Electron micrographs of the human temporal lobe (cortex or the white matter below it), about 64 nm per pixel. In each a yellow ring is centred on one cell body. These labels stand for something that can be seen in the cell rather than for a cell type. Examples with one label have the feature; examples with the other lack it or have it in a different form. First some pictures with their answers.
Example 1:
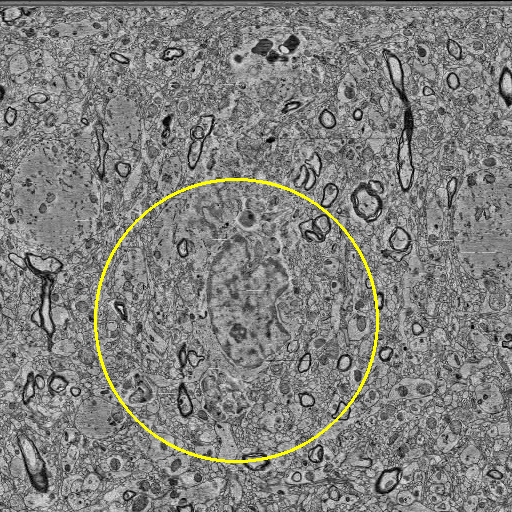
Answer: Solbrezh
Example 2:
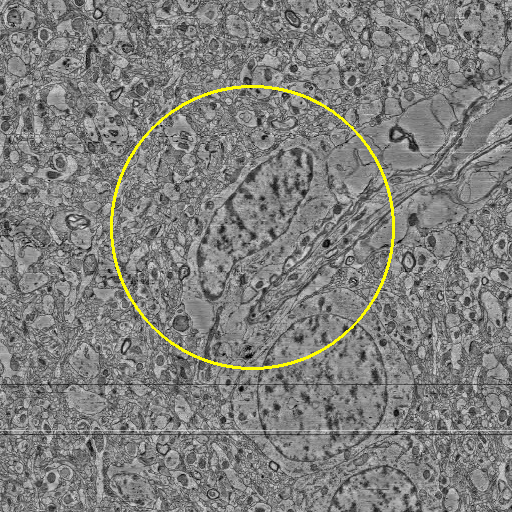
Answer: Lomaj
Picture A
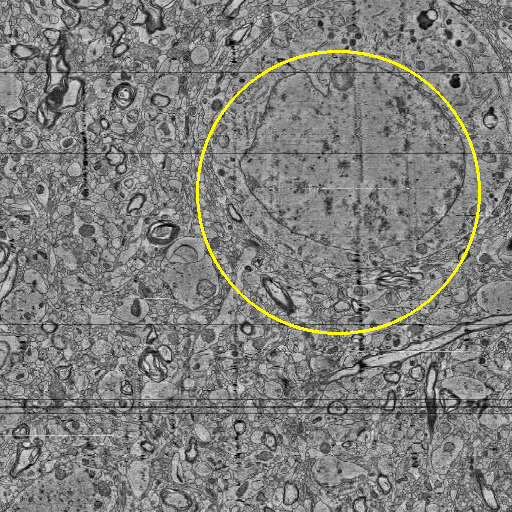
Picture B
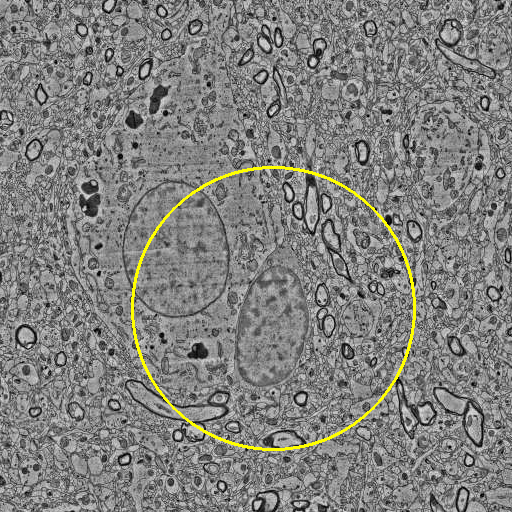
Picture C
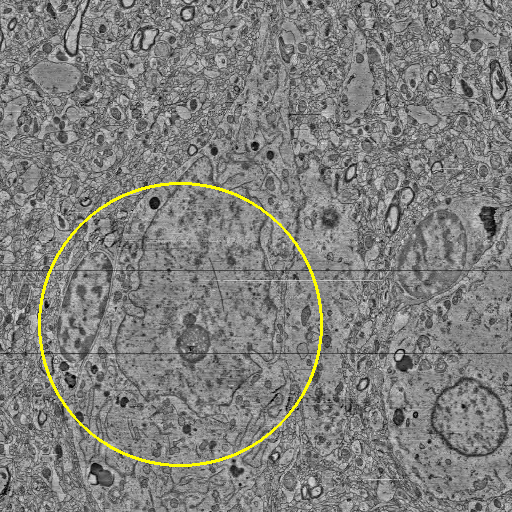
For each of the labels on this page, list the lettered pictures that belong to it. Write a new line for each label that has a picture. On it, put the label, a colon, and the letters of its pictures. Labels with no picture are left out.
Solbrezh: C
Lomaj: A, B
